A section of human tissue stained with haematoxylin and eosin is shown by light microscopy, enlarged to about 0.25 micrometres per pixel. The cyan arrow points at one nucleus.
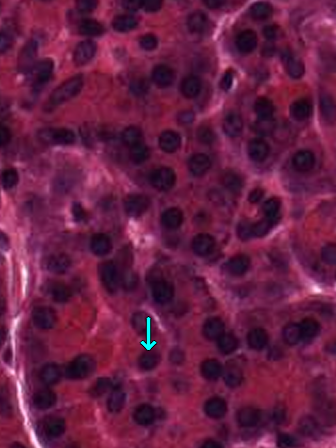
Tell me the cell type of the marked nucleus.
pancreatic acinar cell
